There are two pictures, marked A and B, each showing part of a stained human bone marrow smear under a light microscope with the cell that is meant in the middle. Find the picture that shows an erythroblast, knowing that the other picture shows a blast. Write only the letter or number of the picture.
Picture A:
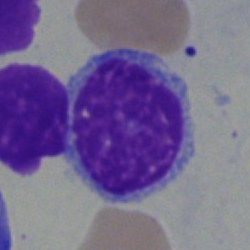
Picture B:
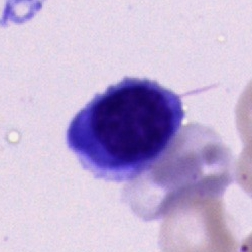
B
